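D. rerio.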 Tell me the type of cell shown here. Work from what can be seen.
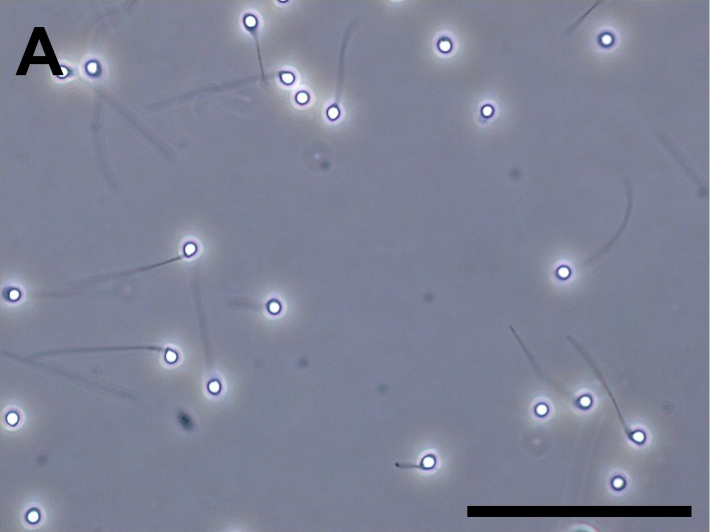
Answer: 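Many small, round, bright heads of similar size scattered singly. No nuclei or cytoplasm can be made out beyond the compact head.
Answer: spermatozoa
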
